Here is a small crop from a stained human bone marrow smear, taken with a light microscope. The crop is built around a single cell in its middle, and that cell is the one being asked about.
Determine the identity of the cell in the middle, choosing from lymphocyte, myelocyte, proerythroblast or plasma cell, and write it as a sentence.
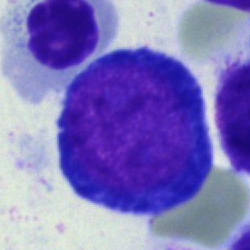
Seen at the centre of the crop is a proerythroblast.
